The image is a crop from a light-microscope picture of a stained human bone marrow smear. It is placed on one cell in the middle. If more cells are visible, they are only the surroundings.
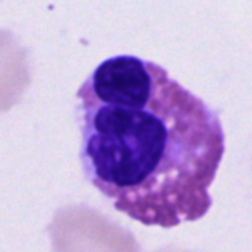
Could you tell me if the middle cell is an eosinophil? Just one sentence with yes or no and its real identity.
Yes, the cell centred in the field of view is an eosinophil.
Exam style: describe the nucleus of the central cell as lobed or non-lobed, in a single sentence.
Two or more lobes make up the nucleus of this cell.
